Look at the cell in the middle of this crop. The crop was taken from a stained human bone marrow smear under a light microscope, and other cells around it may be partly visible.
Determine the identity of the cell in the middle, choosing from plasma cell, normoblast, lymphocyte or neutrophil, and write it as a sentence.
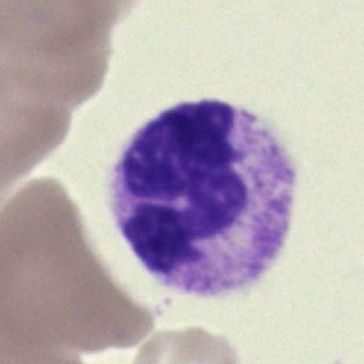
The cell shown in the center of this light-microscope crop is a neutrophil.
